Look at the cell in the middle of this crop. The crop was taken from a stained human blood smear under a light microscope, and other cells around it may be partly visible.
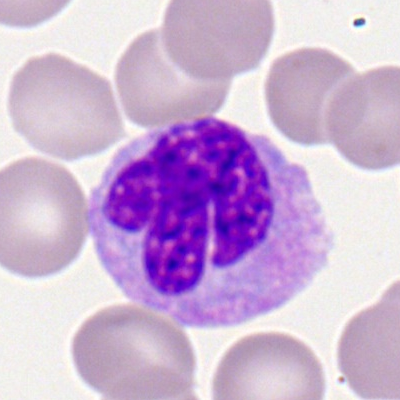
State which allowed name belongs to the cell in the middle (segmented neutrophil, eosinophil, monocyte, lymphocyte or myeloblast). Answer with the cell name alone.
monocyte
